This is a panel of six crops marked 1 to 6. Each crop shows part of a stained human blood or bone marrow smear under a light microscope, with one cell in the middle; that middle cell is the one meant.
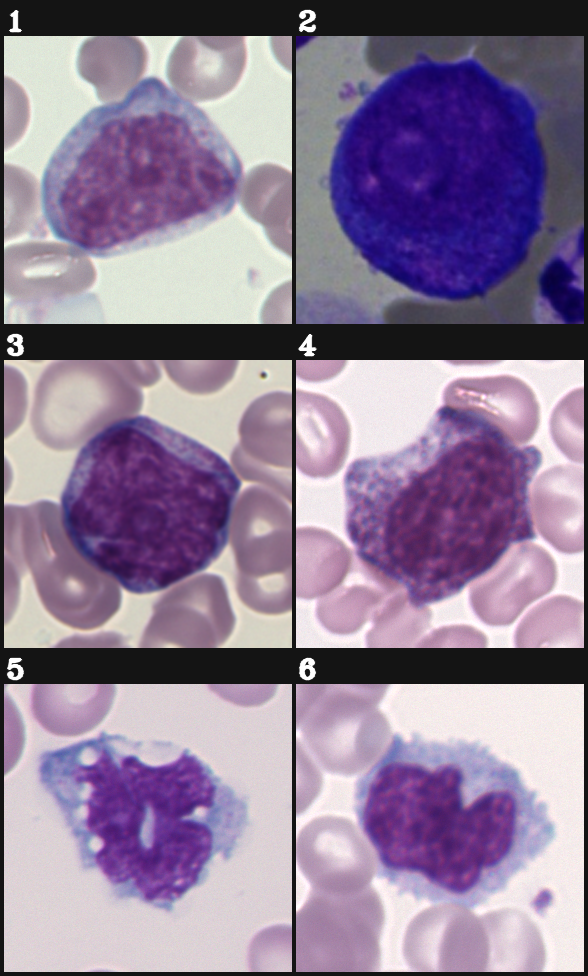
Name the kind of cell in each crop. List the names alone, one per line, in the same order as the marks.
promyelocyte
promyelocyte
promyelocyte
promyelocyte
monocyte
monocyte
